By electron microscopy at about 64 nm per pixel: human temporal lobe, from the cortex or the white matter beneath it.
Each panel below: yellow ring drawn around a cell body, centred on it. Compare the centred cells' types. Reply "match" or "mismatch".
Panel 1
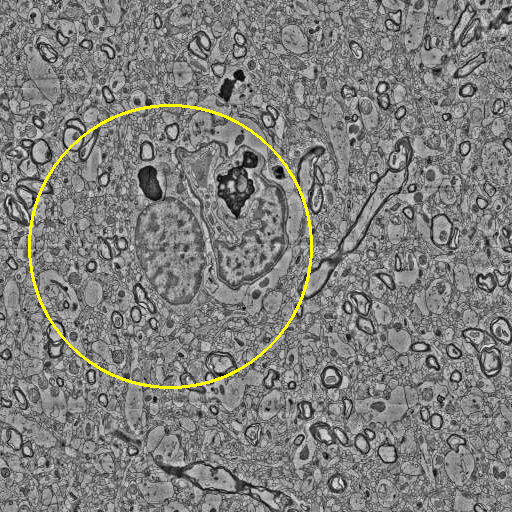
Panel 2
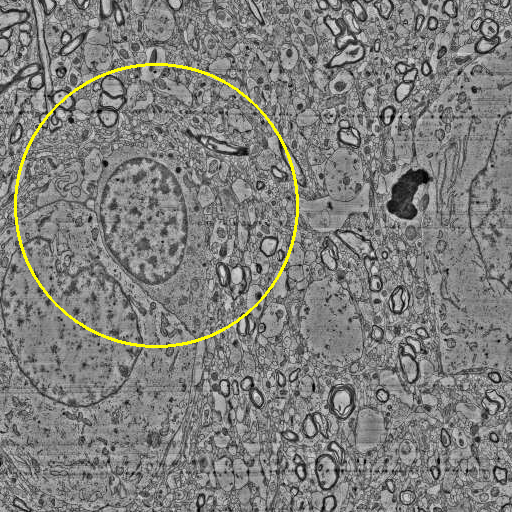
match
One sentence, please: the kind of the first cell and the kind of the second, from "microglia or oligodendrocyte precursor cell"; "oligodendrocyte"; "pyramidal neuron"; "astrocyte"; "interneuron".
Each one of the two ringed cells is an oligodendrocyte.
